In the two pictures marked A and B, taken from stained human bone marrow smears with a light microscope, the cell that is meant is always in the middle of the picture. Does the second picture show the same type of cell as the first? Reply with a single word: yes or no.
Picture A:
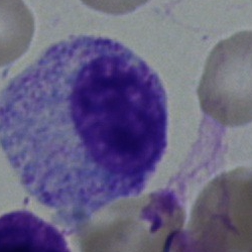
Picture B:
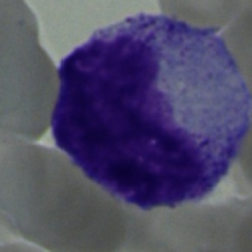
no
